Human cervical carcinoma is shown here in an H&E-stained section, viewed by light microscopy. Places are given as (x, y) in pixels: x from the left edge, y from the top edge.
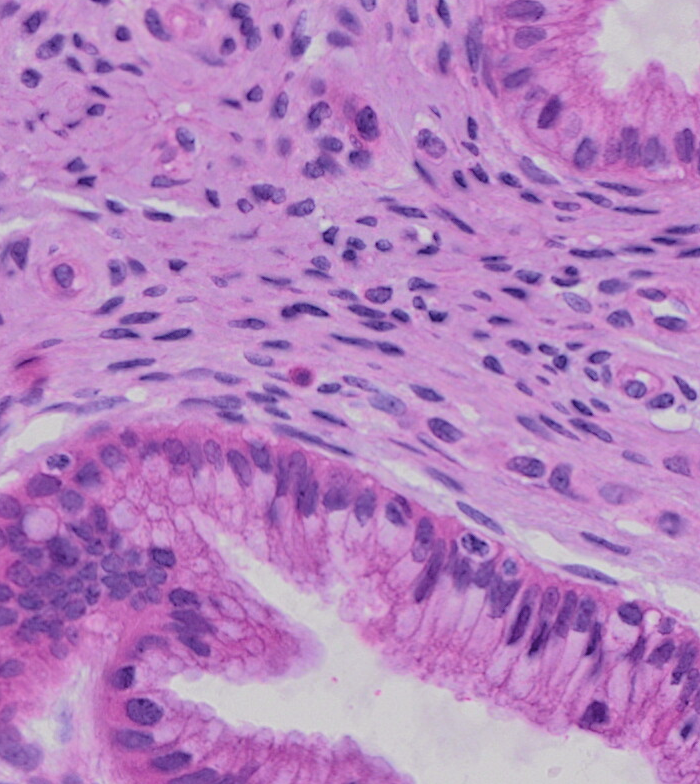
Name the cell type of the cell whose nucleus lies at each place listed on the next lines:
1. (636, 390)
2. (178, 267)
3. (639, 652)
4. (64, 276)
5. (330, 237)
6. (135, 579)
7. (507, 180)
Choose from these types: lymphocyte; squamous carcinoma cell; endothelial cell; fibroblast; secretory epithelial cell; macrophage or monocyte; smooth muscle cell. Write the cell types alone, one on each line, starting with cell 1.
endothelial cell
fibroblast
secretory epithelial cell
endothelial cell
fibroblast
secretory epithelial cell
fibroblast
